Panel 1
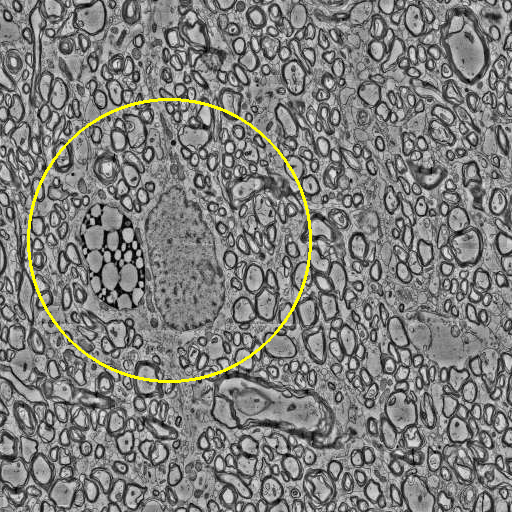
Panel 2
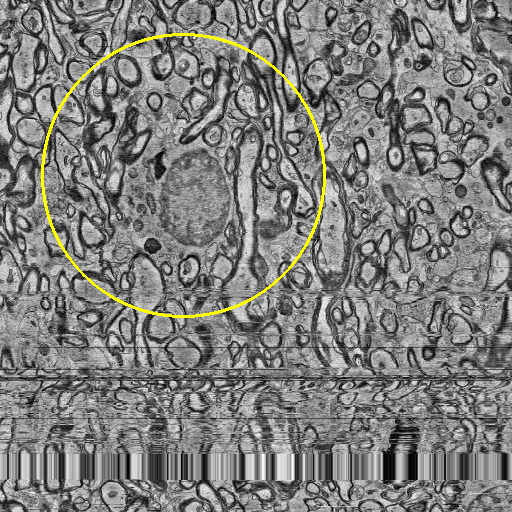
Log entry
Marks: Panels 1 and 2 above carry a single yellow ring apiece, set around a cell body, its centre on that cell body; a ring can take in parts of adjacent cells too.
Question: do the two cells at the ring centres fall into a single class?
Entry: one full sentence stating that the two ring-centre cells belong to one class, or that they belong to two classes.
The two ring-centre cells in Panels 1 and 2 belong to two classes.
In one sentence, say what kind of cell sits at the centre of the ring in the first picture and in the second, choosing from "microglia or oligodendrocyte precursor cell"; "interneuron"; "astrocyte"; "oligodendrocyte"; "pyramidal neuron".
The first picture's ringed cell is an astrocyte, while the second picture's is an oligodendrocyte.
